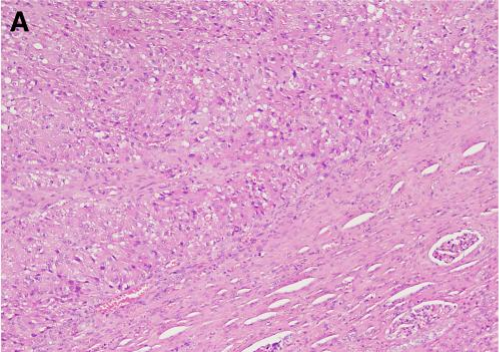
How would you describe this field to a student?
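The upper left holds a densely cellular area of pale-pink cells grouped in sheets and nests. At the lower right lie streaks of flattened tubules and a few glomeruli squeezed alongside it. This is an epithelial tumor of uniform polygonal cells with compressed renal parenchyma at its edge.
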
